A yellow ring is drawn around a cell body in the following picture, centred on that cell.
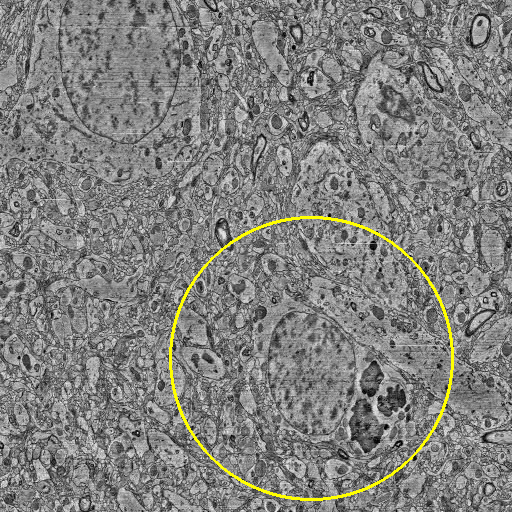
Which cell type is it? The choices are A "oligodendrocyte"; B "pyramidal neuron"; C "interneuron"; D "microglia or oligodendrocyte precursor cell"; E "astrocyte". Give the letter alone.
E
